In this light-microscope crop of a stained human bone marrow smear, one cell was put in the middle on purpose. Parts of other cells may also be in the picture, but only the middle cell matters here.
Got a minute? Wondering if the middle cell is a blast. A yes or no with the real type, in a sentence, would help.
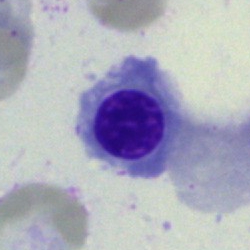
No, this cell in the middle is a normoblast, so it is not a blast.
